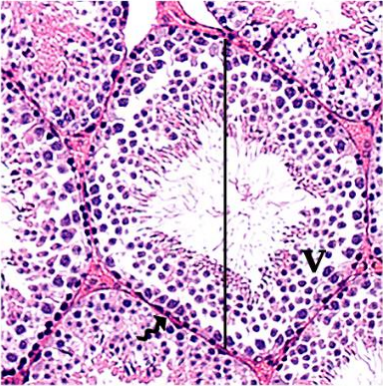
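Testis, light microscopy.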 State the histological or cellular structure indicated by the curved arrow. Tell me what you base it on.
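Basement membrane. The curved arrow points to the thin pink line bounding the tubule. Flattened dark nuclei lie along this boundary.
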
